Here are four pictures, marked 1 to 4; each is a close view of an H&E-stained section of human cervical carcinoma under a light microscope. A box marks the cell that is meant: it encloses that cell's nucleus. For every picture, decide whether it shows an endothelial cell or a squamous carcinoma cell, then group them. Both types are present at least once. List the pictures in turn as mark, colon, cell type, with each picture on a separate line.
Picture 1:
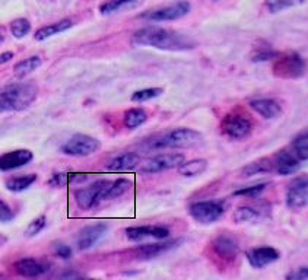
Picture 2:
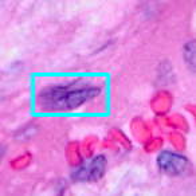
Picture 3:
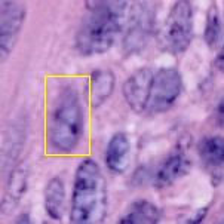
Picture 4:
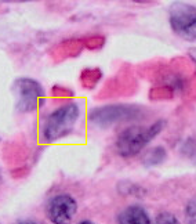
1: endothelial cell
2: endothelial cell
3: squamous carcinoma cell
4: endothelial cell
